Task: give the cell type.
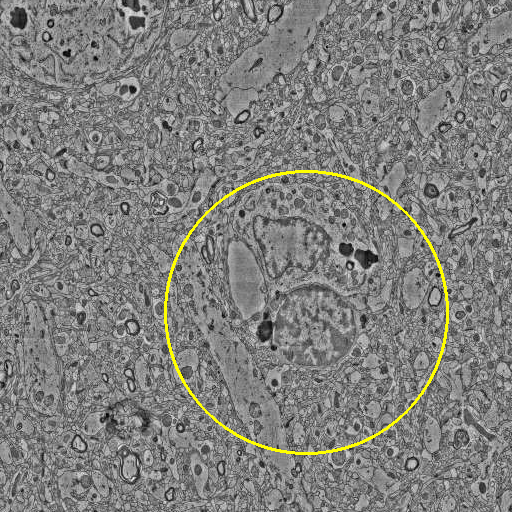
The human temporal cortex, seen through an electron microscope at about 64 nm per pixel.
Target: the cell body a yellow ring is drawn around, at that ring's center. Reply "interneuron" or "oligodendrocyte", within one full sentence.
In this picture, the cell whose body lies at the ring's center is an oligodendrocyte.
